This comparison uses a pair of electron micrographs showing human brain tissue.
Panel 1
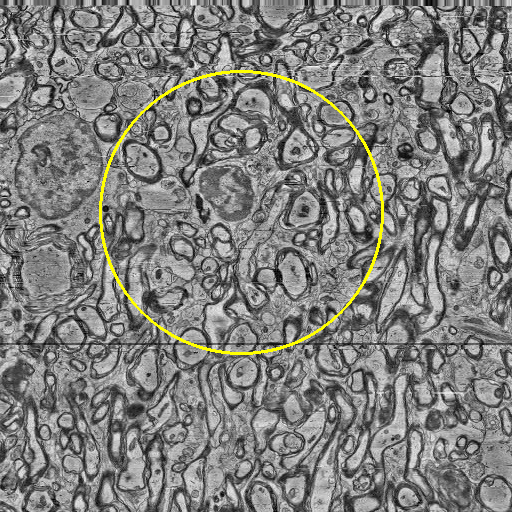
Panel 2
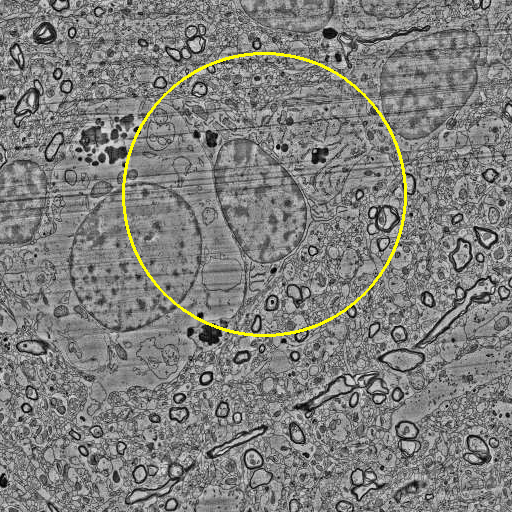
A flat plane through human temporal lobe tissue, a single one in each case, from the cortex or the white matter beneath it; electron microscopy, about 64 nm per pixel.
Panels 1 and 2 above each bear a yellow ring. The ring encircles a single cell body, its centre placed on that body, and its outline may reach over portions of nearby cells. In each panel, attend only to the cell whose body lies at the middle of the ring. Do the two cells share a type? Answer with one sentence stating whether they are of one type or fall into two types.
In Panel 1 and Panel 2, the cells at the centres of the rings are of one type.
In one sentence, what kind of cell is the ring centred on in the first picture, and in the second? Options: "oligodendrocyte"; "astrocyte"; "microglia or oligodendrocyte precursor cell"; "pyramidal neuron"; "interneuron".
Both the first and the second picture show a microglial cell or oligodendrocyte precursor cell in the ring.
